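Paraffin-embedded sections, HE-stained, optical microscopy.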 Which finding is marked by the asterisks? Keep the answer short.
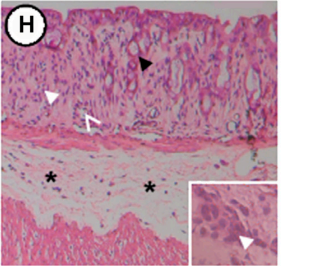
edema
